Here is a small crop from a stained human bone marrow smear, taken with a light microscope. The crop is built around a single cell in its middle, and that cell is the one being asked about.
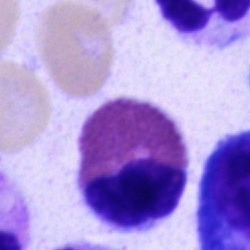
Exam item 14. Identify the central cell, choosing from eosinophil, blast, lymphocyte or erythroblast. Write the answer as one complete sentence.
At the crop's centre, the cell is an eosinophil.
